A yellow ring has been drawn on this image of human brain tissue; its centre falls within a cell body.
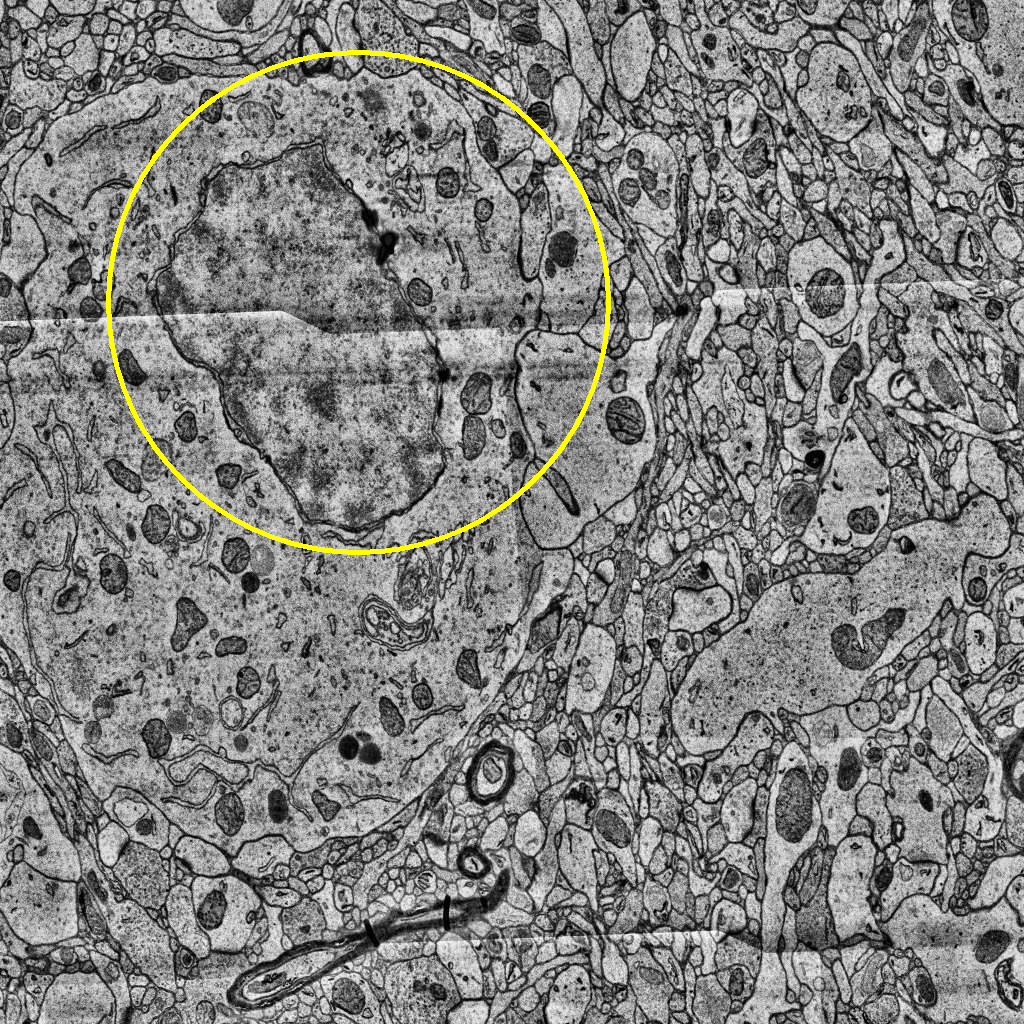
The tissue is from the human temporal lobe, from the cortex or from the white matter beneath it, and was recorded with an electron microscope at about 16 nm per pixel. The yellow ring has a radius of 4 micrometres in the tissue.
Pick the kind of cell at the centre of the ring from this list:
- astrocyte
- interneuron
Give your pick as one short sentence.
The centre of the ring holds an interneuron.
